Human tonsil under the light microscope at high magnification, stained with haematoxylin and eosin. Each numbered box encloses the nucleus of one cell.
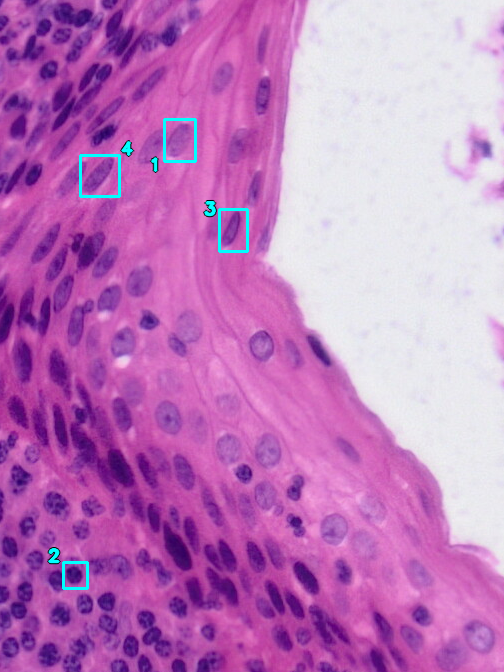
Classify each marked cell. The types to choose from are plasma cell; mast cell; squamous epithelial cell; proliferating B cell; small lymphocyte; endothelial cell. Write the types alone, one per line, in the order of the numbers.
squamous epithelial cell
plasma cell
squamous epithelial cell
squamous epithelial cell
